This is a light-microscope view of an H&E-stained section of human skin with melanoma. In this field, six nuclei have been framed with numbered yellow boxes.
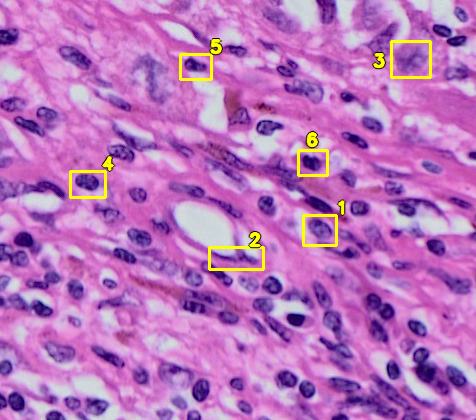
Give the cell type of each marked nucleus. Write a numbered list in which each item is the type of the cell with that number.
1. lymphocyte
2. endothelial cell
3. melanoma cell
4. lymphocyte
5. lymphocyte
6. plasma cell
